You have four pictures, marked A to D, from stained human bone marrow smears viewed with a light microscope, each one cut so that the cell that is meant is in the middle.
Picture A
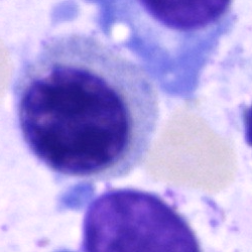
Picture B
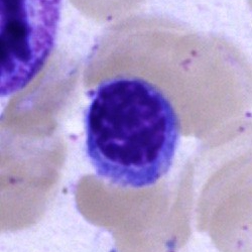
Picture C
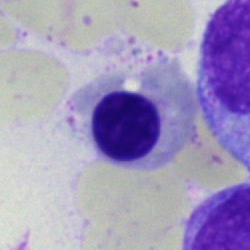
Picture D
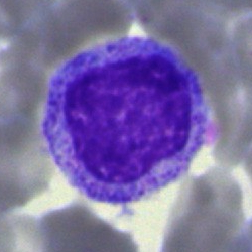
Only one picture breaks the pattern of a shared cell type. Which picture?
D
